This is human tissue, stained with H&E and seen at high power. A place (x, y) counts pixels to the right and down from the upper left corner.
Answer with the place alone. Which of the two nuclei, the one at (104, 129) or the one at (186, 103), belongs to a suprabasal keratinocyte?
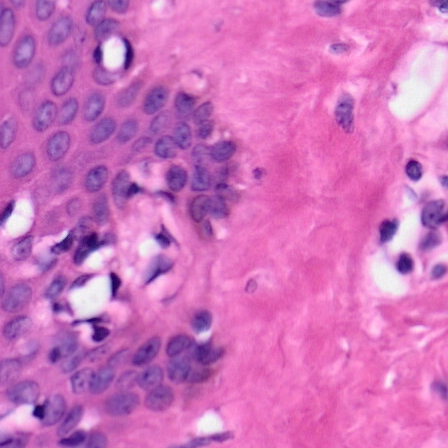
(104, 129)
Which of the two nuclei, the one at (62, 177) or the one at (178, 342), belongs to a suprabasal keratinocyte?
(62, 177)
